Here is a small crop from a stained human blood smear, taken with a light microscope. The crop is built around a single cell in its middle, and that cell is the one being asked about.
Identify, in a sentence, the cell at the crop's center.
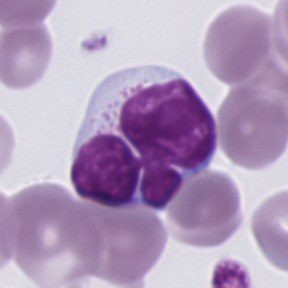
Located at the centre of the crop is a large granular lymphocyte.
